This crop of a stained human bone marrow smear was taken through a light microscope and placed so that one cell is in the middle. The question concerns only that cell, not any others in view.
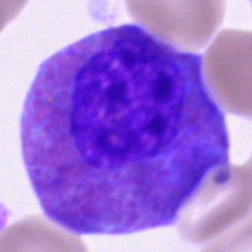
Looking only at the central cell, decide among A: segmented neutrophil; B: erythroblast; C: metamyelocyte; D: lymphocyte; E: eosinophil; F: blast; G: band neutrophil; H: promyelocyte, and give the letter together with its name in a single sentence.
Option E is the correct one; it names the central cell as an eosinophil.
